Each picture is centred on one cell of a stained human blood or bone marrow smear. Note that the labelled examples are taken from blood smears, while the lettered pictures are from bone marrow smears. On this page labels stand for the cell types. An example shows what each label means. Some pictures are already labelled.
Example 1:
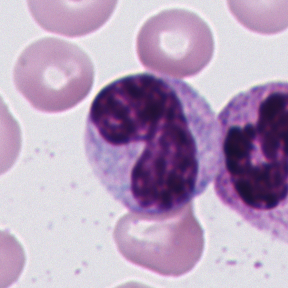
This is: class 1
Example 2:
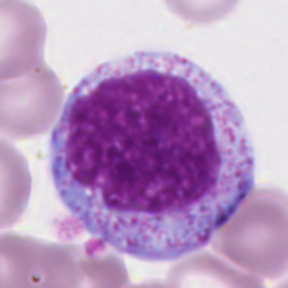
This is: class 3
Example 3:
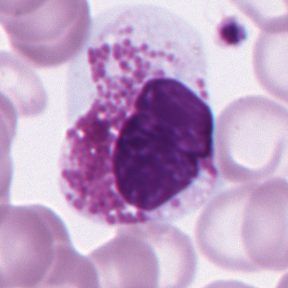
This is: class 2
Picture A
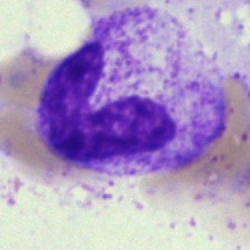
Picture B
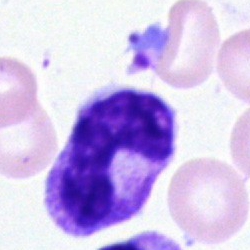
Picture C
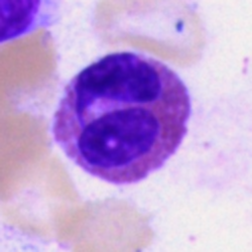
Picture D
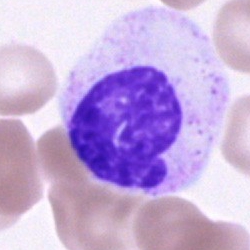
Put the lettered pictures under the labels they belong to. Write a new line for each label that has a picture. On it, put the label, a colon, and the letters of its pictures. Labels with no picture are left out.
class 1: A, B, D
class 2: C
